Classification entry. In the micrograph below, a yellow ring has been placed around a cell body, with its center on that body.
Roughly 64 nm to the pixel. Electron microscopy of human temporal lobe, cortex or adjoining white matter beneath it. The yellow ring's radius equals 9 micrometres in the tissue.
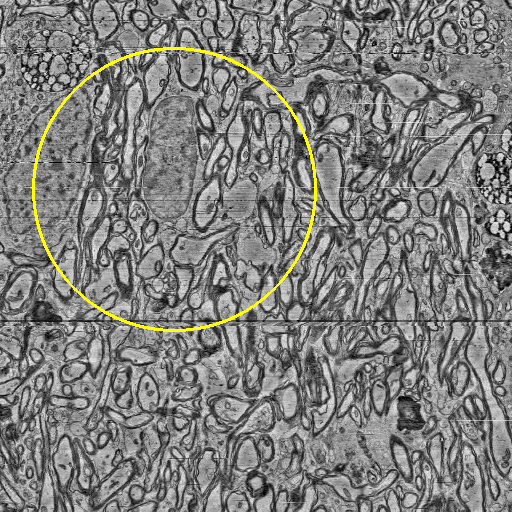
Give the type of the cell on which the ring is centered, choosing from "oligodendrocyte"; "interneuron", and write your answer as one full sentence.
The cell body at the center of the yellow ring belongs to an oligodendrocyte.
